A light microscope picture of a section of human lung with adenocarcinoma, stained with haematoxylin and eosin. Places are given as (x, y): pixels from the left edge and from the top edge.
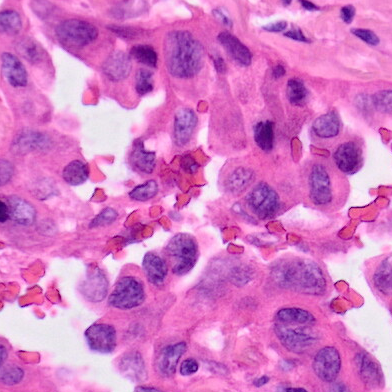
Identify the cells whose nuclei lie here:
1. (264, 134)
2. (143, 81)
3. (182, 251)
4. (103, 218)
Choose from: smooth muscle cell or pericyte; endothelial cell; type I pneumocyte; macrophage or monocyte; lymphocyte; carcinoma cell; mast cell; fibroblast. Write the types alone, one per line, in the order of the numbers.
carcinoma cell
carcinoma cell
carcinoma cell
macrophage or monocyte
